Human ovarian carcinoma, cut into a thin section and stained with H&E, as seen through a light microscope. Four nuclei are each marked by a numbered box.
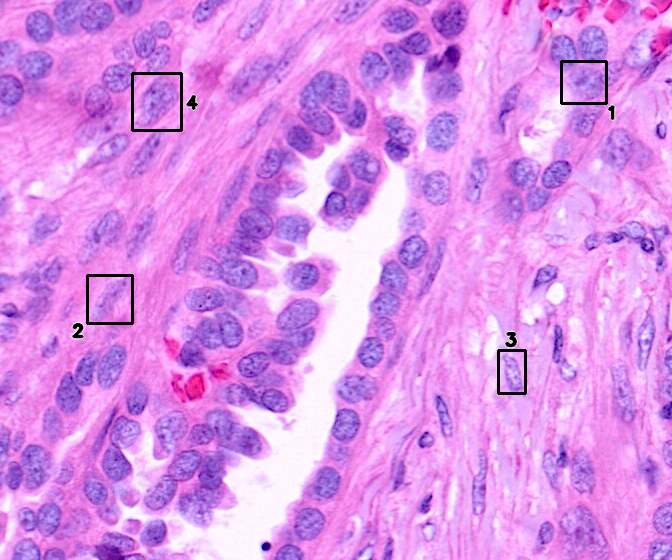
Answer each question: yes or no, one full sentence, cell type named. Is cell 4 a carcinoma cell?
No, cell 4 is classified as a fibroblast rather than a carcinoma cell.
